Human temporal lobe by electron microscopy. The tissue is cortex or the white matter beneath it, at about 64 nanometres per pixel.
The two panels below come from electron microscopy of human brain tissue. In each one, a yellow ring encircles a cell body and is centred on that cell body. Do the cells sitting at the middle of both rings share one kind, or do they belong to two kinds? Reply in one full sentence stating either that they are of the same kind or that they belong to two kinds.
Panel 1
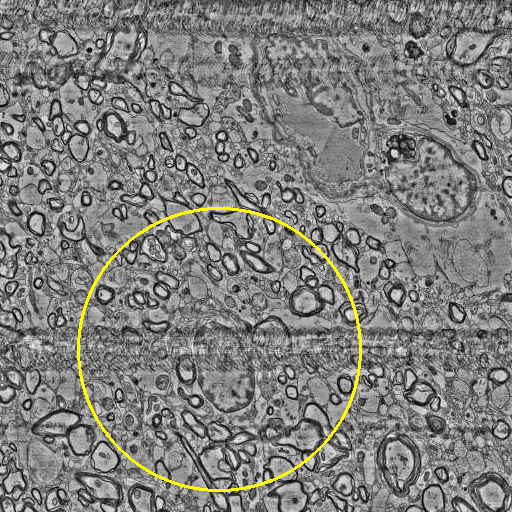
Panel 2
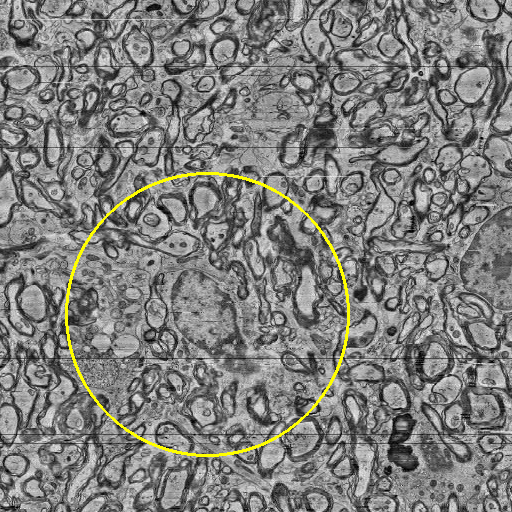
The cells at the centres of the two rings are of the same kind.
